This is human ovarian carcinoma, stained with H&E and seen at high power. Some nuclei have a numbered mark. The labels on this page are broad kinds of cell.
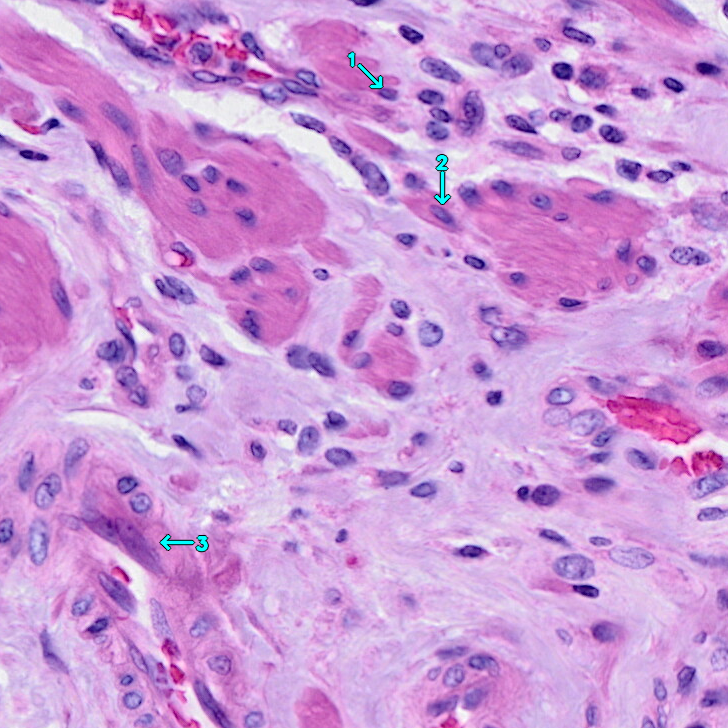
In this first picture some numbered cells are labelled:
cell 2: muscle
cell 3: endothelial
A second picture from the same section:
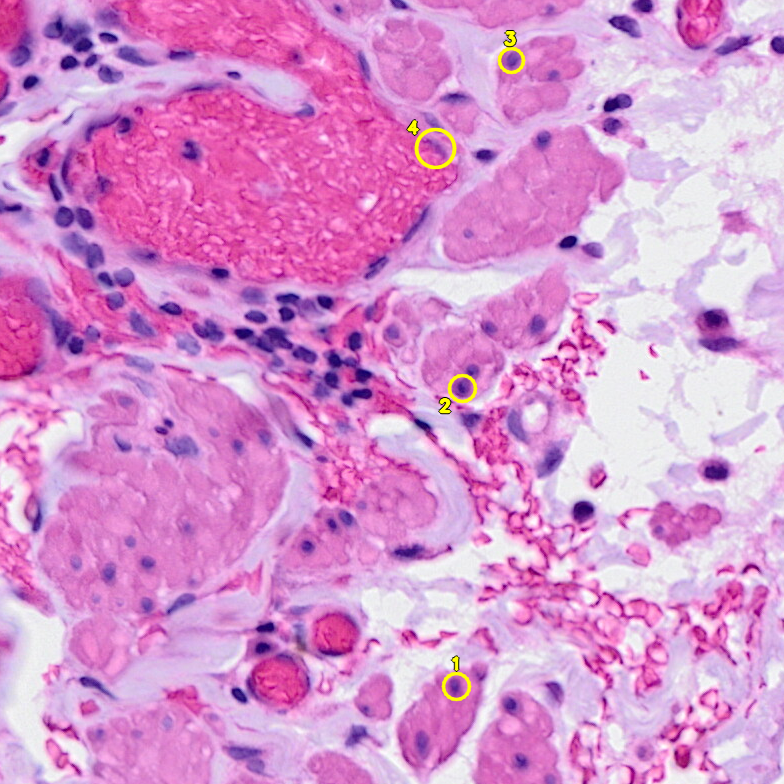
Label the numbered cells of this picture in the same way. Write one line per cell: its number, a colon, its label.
1: muscle
2: muscle
3: muscle
4: endothelial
